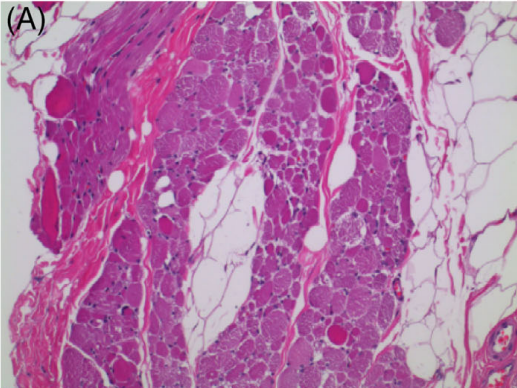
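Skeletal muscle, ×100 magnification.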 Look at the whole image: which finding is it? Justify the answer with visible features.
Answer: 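Fibre size variation. Muscle fibres in cross-section range from small rounded to large ones. Small and large fibres are intermixed within the same fascicle.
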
